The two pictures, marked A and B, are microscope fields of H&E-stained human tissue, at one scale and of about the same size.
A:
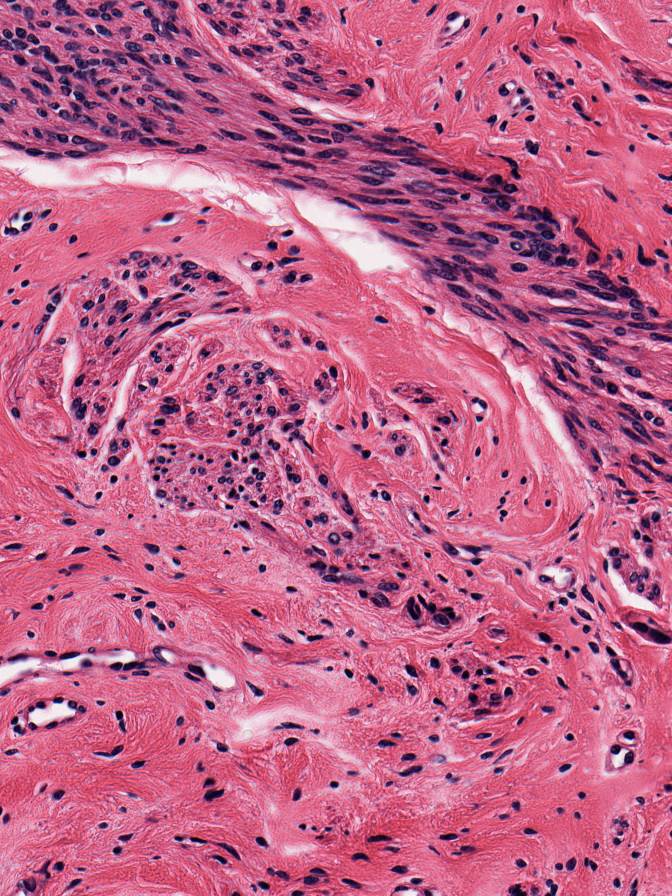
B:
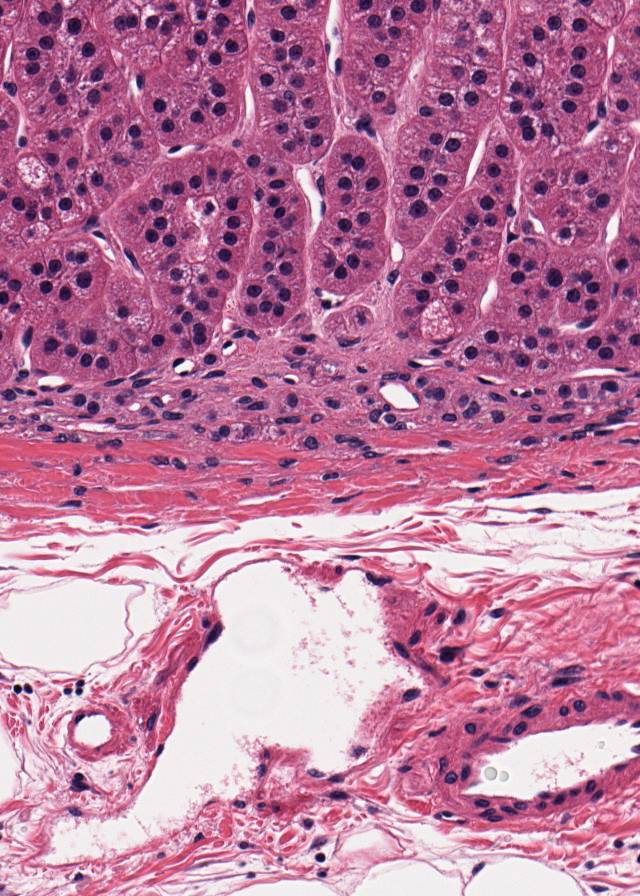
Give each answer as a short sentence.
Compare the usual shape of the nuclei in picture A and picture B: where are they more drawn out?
On the whole the nuclei of picture A are more drawn out than those of picture B.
